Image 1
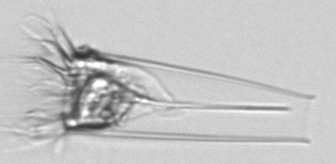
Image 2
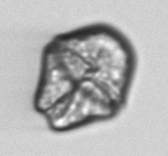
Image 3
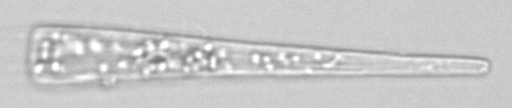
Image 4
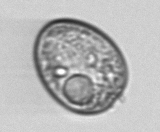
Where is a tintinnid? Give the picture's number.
1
